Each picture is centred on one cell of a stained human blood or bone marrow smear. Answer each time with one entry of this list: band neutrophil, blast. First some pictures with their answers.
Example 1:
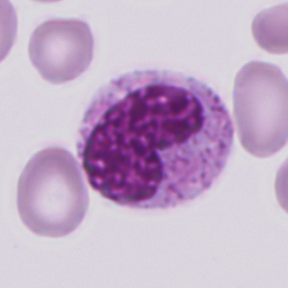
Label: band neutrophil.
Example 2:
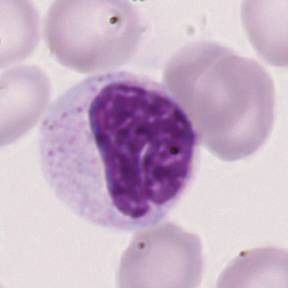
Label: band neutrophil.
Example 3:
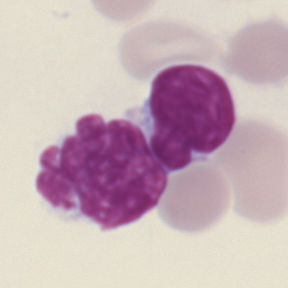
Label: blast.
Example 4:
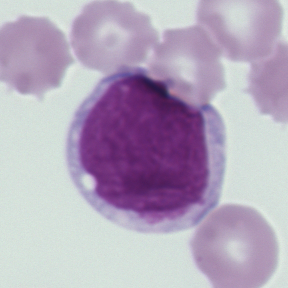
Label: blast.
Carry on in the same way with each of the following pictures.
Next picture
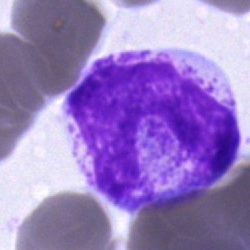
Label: band neutrophil.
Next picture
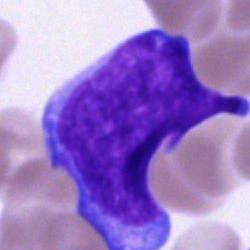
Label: blast.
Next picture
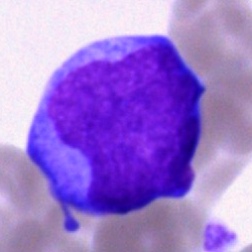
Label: blast.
